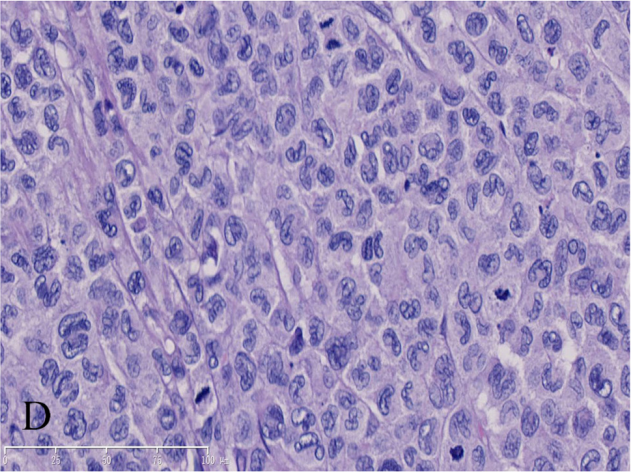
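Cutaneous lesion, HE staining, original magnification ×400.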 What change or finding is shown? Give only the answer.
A: Active mitotic figure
